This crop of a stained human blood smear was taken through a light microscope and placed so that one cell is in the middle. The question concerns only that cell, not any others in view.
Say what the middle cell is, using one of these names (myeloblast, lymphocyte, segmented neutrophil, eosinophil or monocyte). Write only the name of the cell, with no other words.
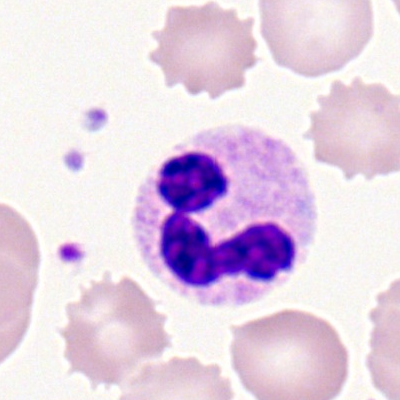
segmented neutrophil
